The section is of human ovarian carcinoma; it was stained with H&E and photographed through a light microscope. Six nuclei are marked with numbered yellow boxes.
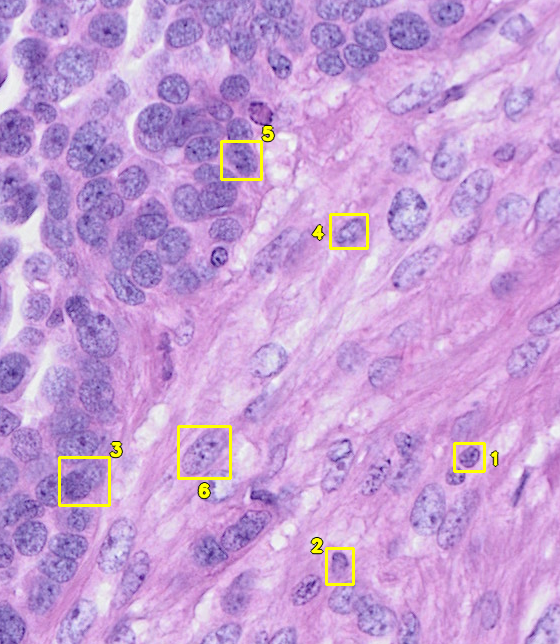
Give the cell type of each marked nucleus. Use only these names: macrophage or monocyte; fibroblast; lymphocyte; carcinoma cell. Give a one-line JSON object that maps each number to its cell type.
{"1": "lymphocyte", "2": "macrophage or monocyte", "3": "carcinoma cell", "4": "fibroblast", "5": "carcinoma cell", "6": "fibroblast"}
